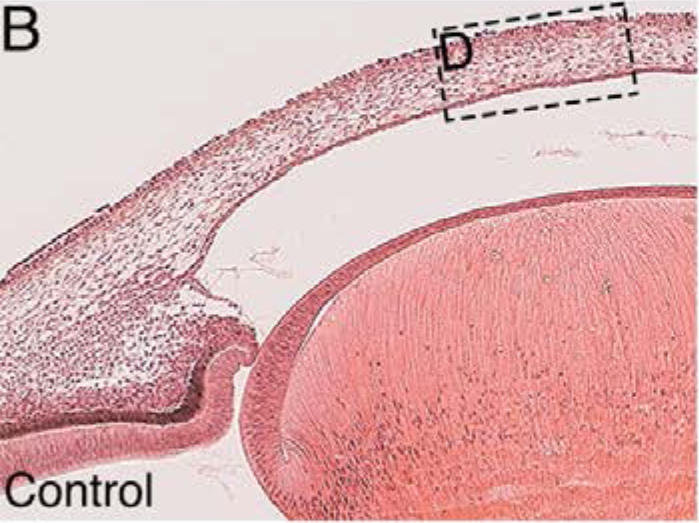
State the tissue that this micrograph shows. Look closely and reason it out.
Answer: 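The band is continuous at its edge with the pigmented rim of the eye. A large pink, fibre-textured lens lies beneath the band, separated by an empty space.
Cornea.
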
